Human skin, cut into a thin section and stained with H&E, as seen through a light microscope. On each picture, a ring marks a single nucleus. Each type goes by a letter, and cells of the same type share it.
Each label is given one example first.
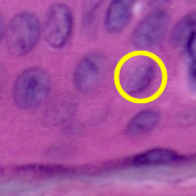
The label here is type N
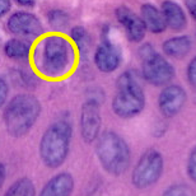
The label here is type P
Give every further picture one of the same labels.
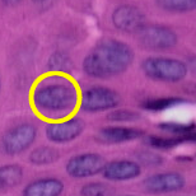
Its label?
type N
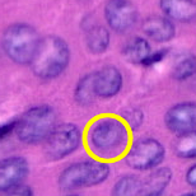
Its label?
type N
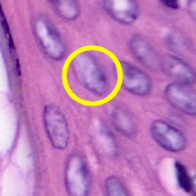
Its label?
type N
